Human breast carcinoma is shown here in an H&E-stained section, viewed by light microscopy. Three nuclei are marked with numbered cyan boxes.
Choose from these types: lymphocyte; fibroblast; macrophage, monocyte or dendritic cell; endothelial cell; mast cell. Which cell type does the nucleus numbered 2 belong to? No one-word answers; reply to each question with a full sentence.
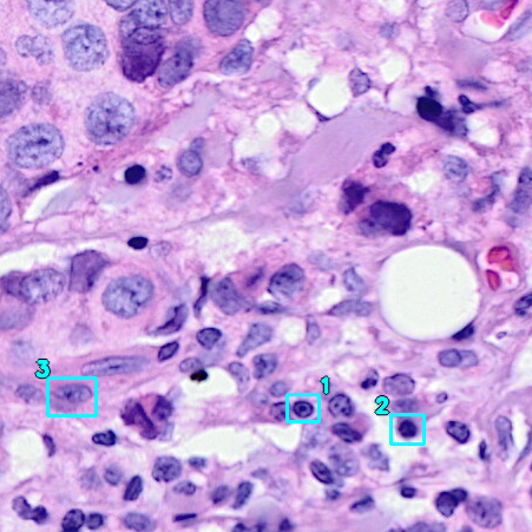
That cell with number 2 is a lymphocyte.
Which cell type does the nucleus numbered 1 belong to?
The correct answer for cell 1 is a lymphocyte.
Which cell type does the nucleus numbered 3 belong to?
The cell bearing label 3 corresponds to an endothelial cell.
